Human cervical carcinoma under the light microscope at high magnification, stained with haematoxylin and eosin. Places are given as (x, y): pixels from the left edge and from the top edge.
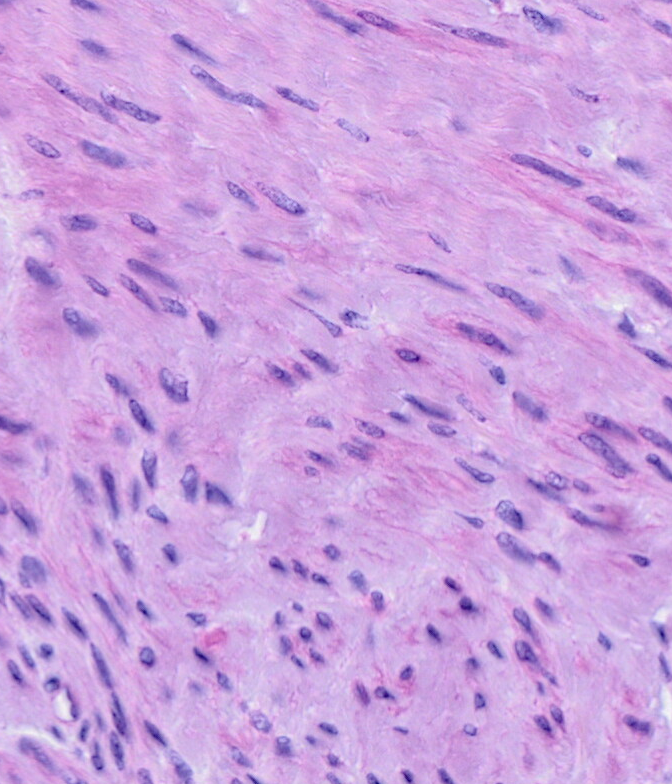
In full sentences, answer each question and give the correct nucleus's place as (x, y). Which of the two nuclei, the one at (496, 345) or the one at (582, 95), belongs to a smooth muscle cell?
Only the nucleus at (496, 345), of the two, belongs to a smooth muscle cell.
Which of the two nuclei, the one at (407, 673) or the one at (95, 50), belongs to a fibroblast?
The pair contains one nucleus of a fibroblast, namely the one at (95, 50).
